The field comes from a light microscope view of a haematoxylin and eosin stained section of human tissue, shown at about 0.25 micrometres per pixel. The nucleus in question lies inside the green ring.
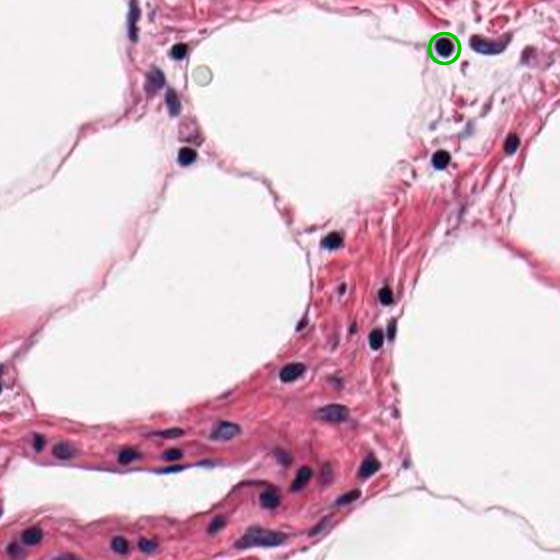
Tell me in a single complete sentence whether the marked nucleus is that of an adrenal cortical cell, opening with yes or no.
No, the marked nucleus belongs to a supporting cell, not to an adrenal cortical cell.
